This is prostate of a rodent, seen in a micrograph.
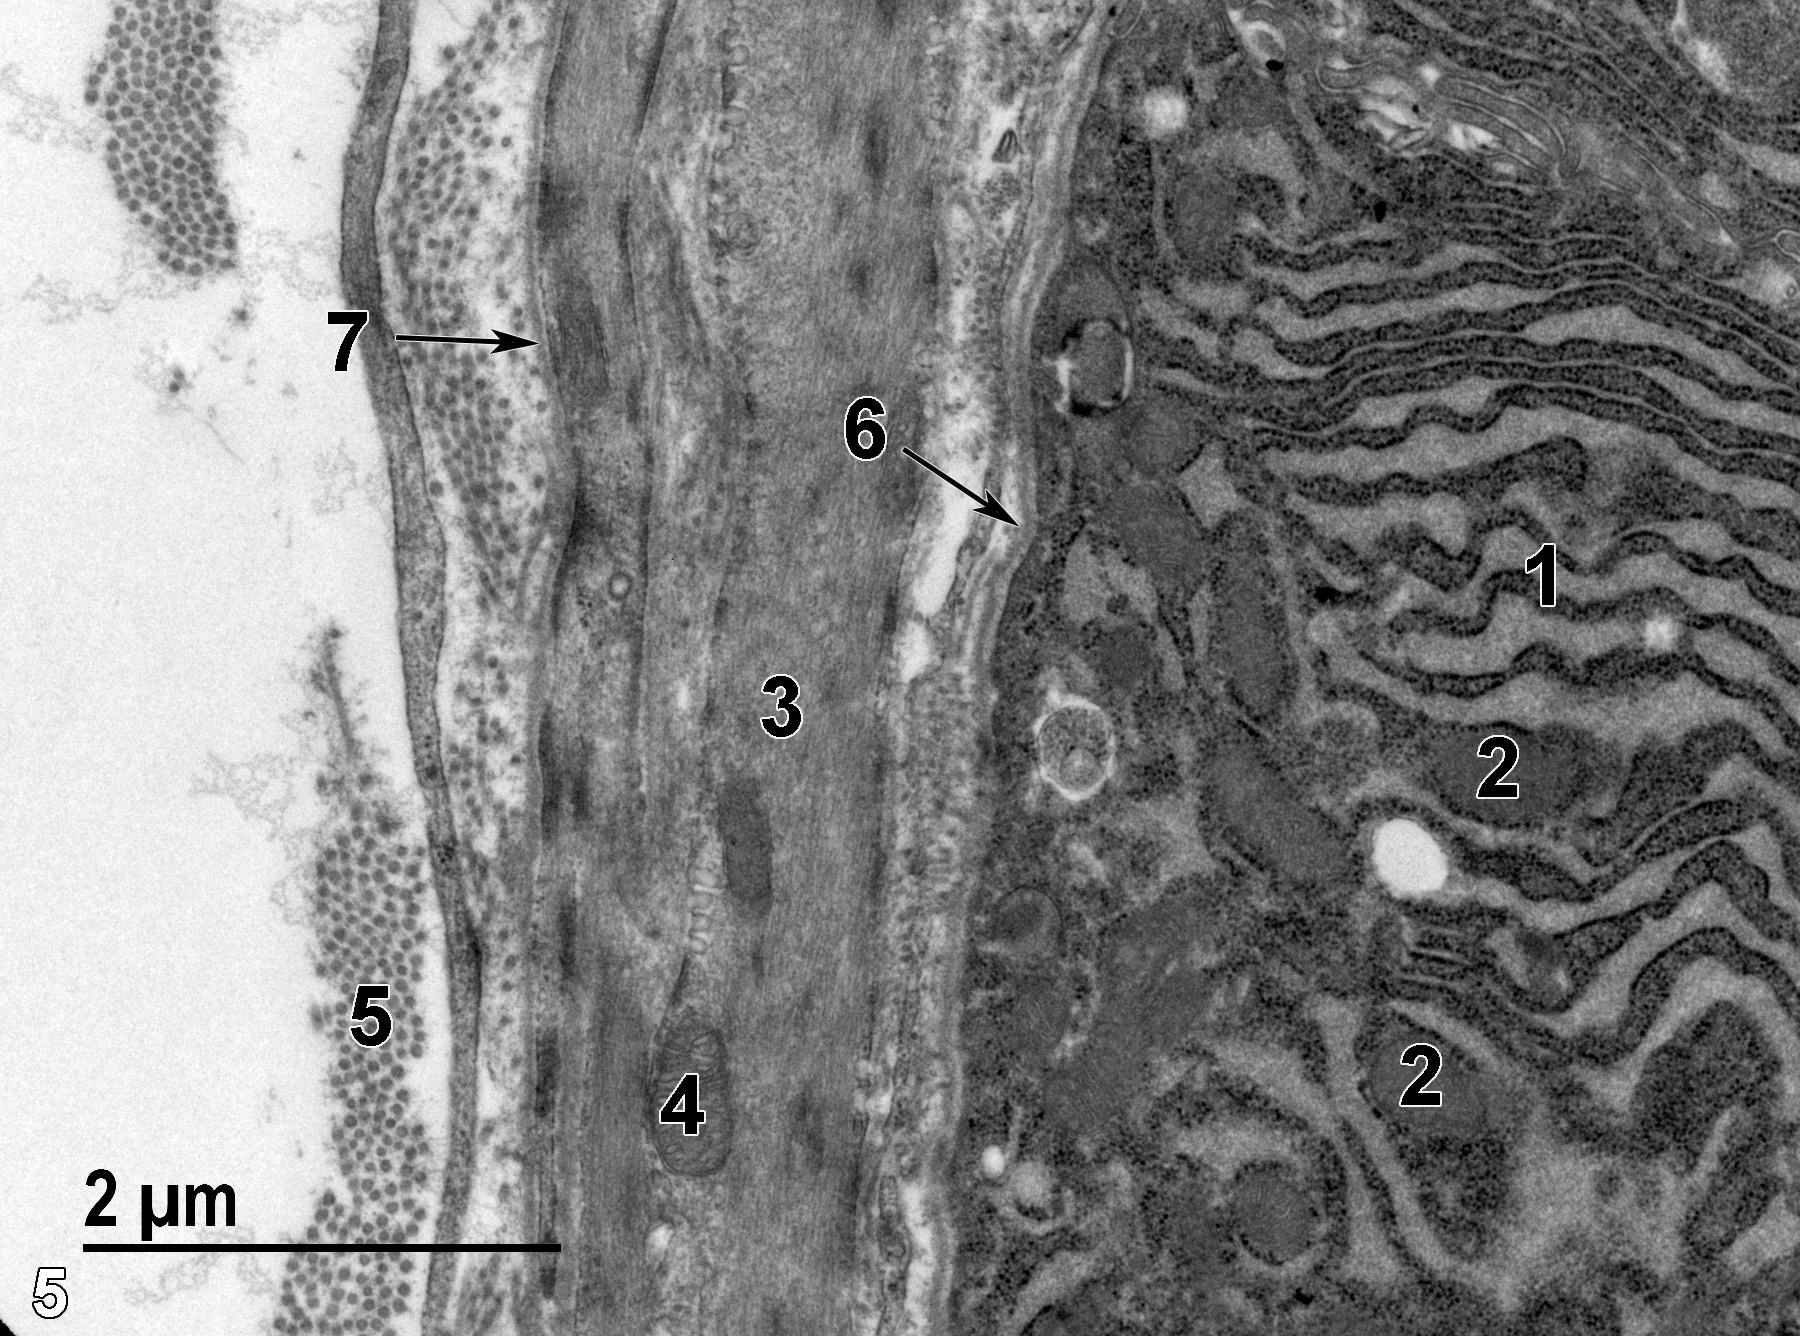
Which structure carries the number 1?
1 marks the rough endoplasmic reticulum.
